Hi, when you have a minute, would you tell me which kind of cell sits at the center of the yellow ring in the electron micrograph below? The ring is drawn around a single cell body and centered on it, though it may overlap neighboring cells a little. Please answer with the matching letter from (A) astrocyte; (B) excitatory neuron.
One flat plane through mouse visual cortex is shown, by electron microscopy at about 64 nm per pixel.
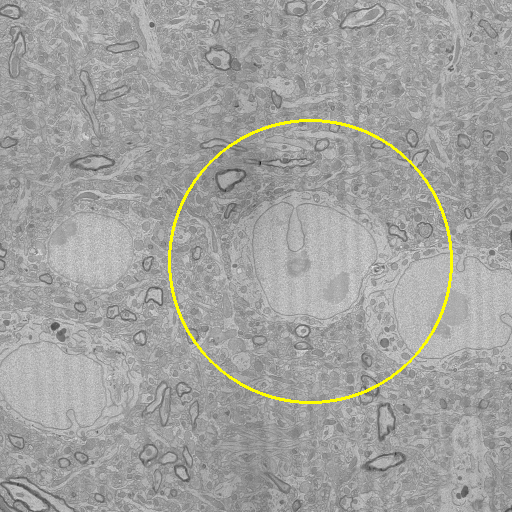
B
